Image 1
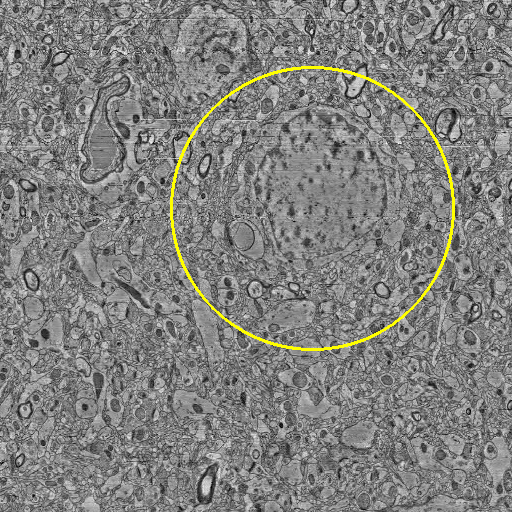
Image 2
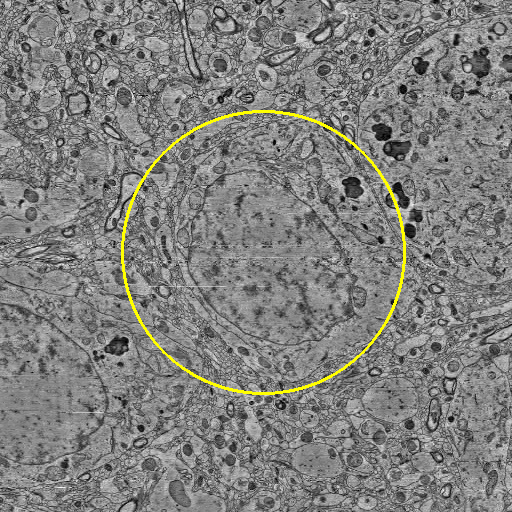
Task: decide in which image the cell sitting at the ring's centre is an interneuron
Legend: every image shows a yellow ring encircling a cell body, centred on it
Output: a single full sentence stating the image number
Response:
In image 1, the cell at the middle of the ring is the match.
